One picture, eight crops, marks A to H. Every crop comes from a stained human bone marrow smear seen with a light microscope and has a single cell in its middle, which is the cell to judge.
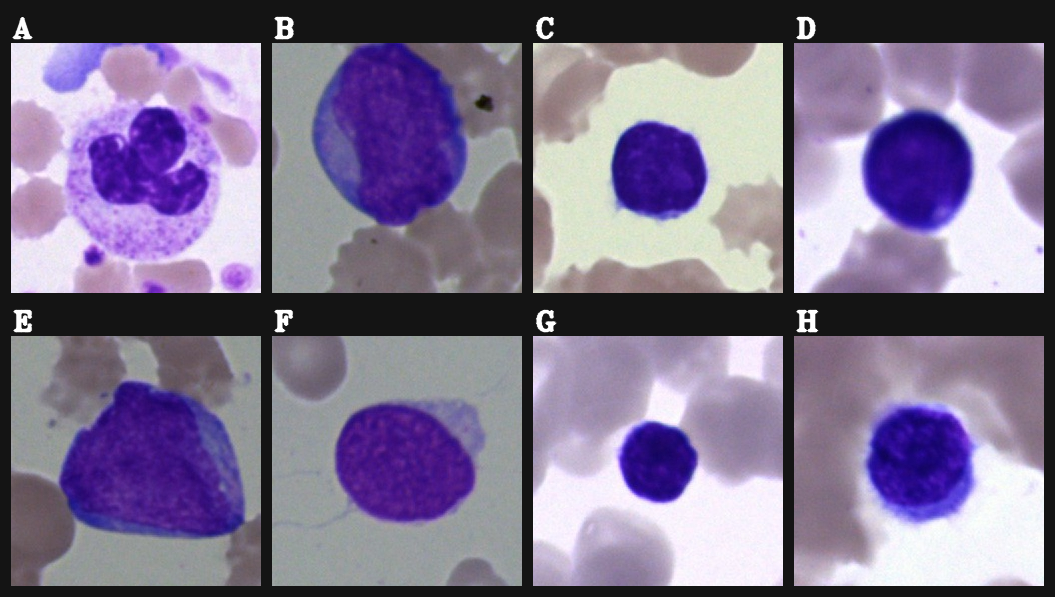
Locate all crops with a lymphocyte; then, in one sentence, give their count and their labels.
The lymphocytes are found in four crops, namely C, D, G and H.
